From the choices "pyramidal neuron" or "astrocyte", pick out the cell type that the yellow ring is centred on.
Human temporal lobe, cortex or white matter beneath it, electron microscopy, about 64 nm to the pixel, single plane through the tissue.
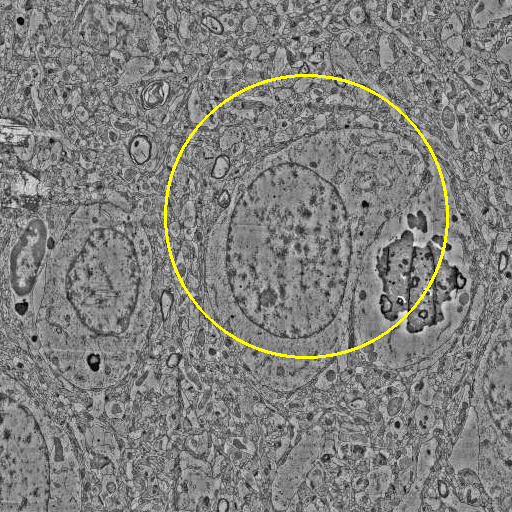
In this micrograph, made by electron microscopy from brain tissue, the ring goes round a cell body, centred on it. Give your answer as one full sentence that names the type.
The yellow ring is centred on a pyramidal neuron, whose cell body it encircles in the picture.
